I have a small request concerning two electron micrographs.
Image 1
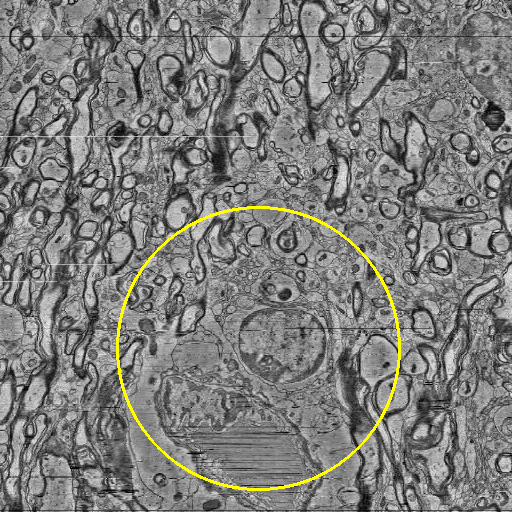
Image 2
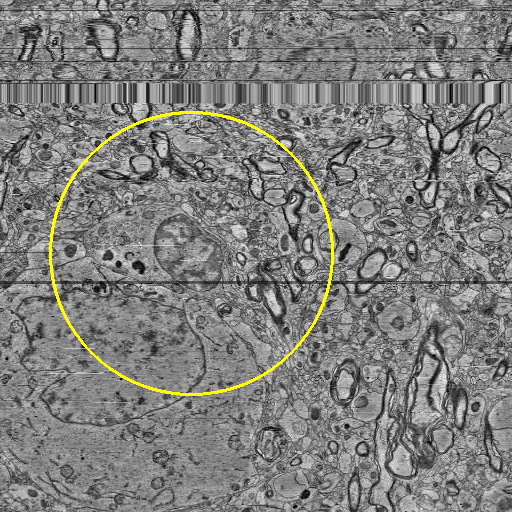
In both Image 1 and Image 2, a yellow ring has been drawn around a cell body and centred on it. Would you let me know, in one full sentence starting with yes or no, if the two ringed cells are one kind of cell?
No, the cells ringed in Image 1 and Image 2 are two kinds of cell.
